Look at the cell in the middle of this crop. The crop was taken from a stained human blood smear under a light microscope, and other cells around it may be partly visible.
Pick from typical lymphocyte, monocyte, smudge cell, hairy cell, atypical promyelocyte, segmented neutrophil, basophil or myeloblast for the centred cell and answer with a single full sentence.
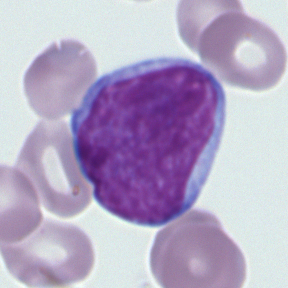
The cell found in the middle of this crop is a myeloblast.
